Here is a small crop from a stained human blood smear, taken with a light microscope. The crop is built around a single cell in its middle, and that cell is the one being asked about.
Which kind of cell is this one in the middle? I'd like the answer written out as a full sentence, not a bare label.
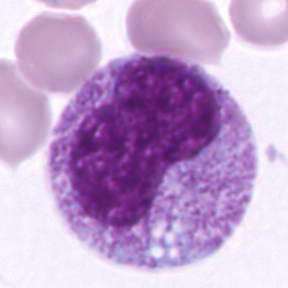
The cell in the exact centre of the crop is a myelocyte.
